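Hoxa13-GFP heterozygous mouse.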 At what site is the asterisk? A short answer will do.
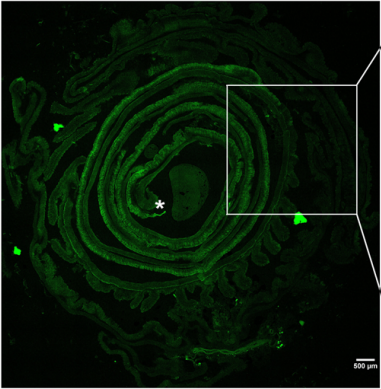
The most distal portion of the epithelium.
